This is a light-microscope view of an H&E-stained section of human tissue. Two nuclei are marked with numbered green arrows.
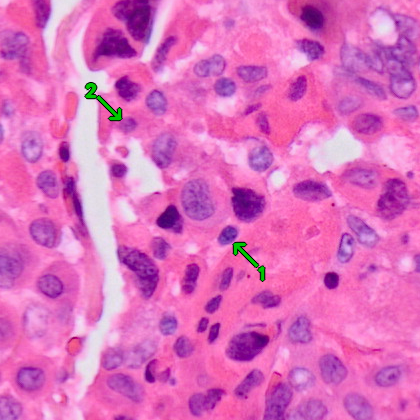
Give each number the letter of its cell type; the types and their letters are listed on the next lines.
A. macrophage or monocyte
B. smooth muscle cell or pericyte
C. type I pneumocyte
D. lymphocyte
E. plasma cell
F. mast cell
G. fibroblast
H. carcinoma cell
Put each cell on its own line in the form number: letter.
1: D
2: A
